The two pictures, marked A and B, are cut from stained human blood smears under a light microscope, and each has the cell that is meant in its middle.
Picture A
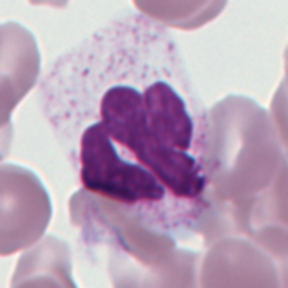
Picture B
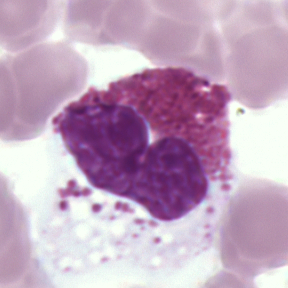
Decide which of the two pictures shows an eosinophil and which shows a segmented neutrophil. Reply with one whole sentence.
Picture A shows a segmented neutrophil and picture B shows an eosinophil.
